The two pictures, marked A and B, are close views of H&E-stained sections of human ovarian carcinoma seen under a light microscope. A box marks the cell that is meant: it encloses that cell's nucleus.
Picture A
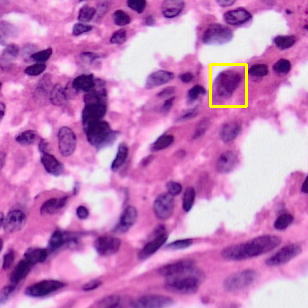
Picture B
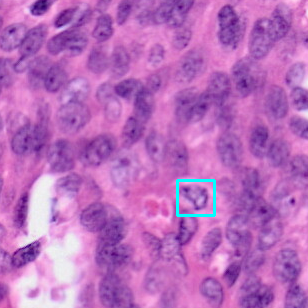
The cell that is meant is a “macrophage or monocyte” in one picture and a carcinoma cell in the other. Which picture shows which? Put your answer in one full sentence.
It is picture A that shows a carcinoma cell, and picture B that shows a “macrophage or monocyte”.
